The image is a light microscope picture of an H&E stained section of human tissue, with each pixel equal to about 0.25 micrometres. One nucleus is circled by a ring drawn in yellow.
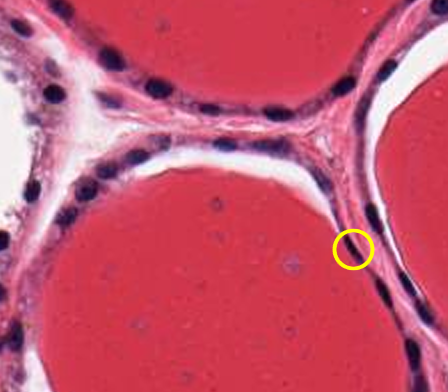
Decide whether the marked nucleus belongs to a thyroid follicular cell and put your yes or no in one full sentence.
Yes, the marked nucleus sits in a thyroid follicular cell.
